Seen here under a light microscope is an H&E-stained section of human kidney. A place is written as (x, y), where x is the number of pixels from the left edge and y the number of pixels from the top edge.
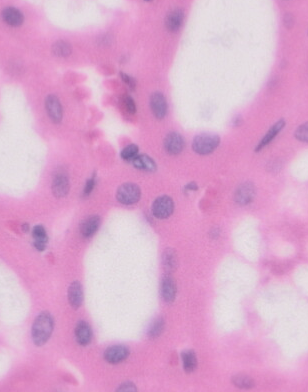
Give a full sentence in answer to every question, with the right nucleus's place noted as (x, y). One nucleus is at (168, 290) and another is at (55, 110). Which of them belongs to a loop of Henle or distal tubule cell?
The correct choice is the nucleus at (168, 290), which belongs to a loop of Henle or distal tubule cell.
